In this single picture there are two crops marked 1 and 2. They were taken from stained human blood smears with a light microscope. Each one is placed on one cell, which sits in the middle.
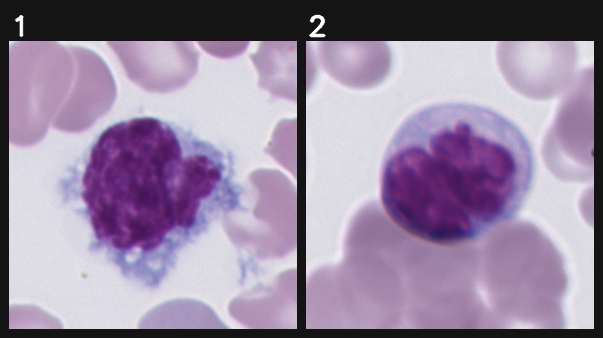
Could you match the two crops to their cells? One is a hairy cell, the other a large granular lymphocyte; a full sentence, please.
Identified in crop 1 is a hairy cell, with a large granular lymphocyte identified in crop 2.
